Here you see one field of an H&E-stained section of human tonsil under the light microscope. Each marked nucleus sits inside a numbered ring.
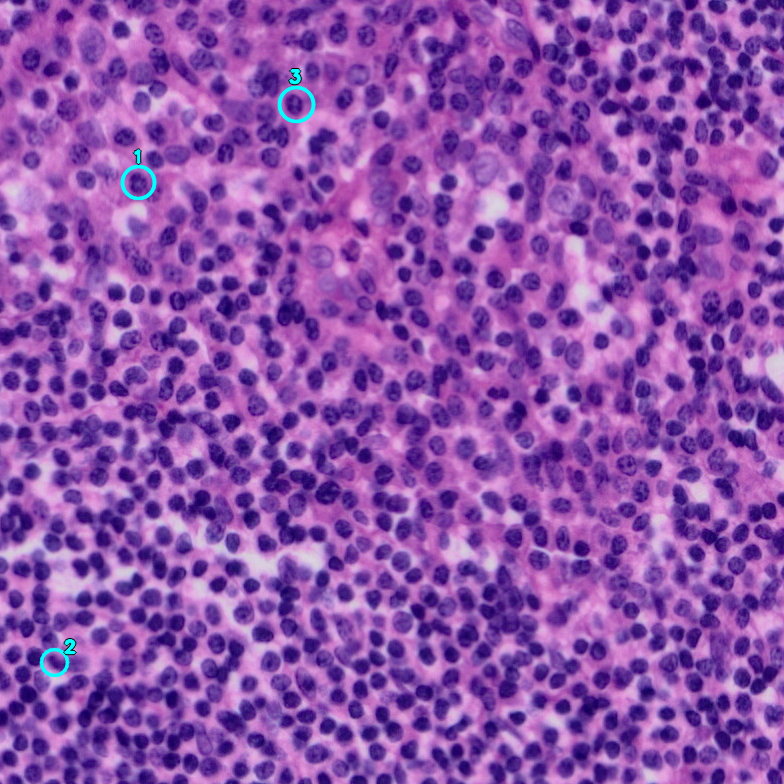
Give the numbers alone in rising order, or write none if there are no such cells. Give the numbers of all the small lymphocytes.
2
